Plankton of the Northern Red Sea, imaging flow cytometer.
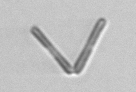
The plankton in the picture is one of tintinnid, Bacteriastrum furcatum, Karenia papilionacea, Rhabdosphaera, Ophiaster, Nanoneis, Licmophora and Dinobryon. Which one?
Nanoneis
